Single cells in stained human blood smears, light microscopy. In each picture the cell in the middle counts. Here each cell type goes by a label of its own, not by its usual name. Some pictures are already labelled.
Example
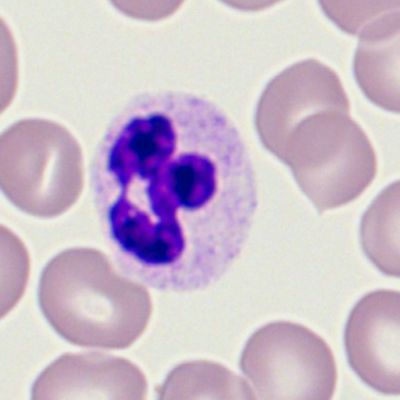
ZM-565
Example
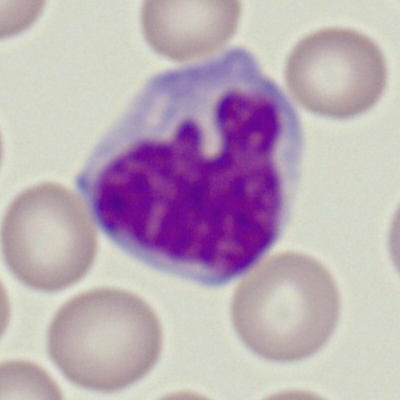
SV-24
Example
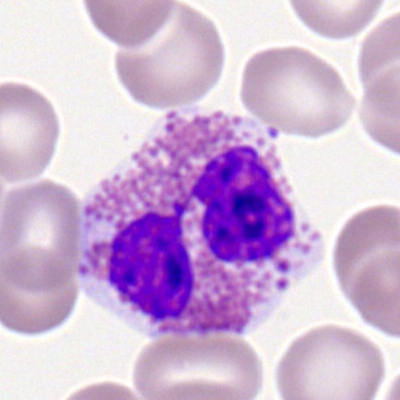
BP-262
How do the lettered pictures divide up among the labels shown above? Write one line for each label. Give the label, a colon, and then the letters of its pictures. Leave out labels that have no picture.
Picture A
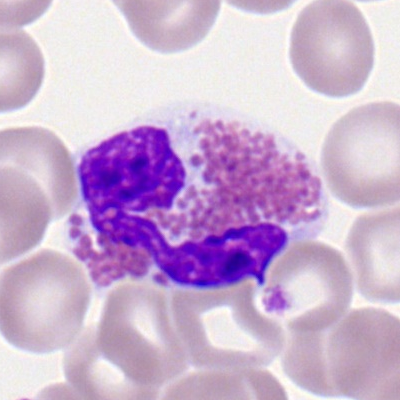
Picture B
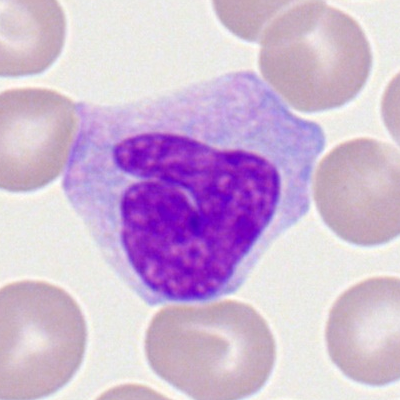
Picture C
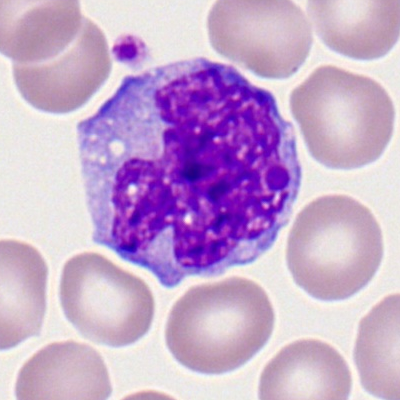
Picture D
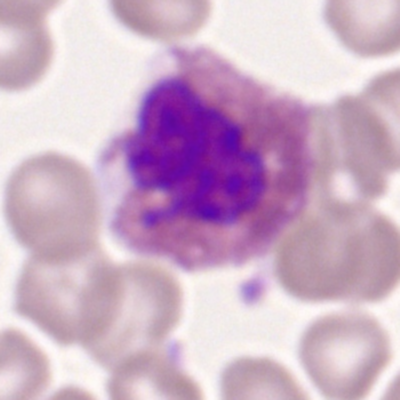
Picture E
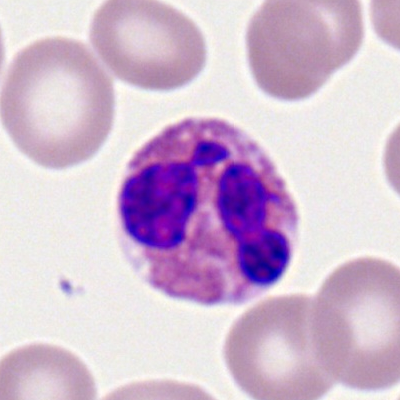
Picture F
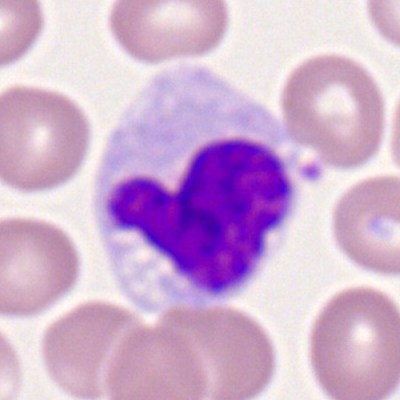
SV-24: B, C, F
BP-262: A, D, E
